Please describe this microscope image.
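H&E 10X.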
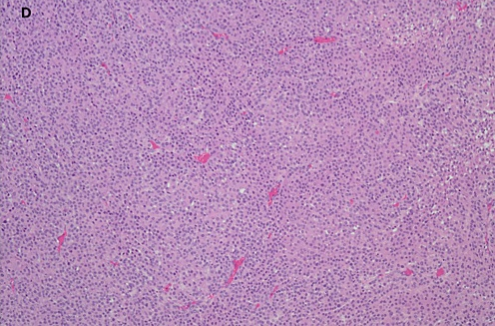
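This is a tumour growing as a diffuse, solid sheet of cells with no obvious glandular or nested arrangement. The cells have pink cytoplasm and fairly uniform, closely spaced dark nuclei. Small capillaries containing red blood cells are scattered through the sheet.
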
